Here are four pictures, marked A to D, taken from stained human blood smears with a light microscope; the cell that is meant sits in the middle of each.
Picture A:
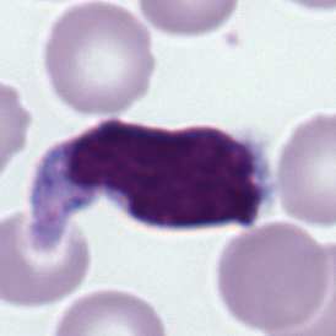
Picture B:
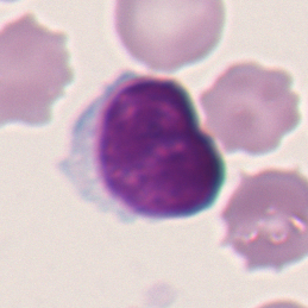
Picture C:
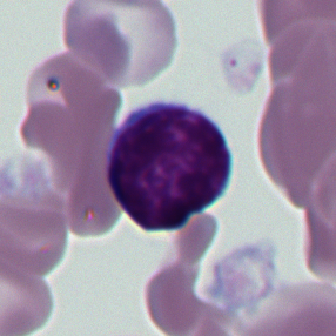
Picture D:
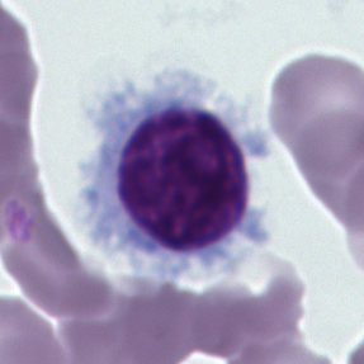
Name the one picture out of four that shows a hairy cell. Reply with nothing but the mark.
D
